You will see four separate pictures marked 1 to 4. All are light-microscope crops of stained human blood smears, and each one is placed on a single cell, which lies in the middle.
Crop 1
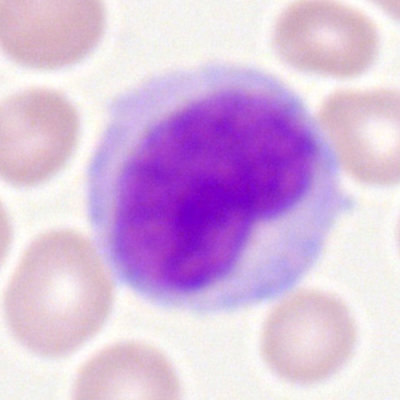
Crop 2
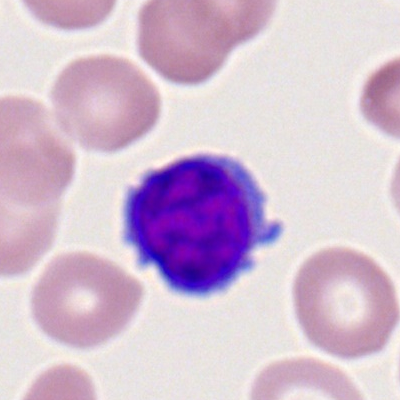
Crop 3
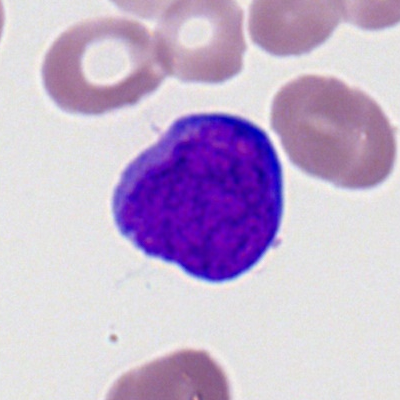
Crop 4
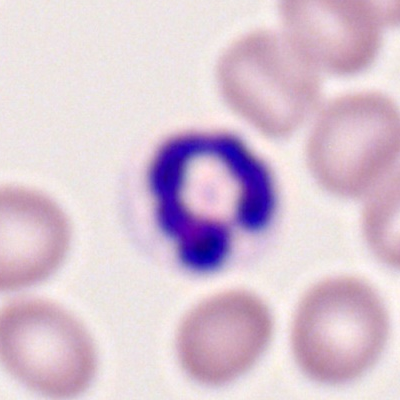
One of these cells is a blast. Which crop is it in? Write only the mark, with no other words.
3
